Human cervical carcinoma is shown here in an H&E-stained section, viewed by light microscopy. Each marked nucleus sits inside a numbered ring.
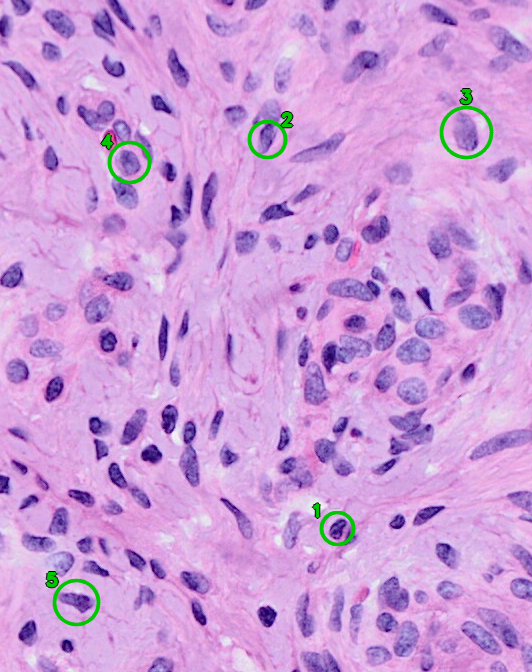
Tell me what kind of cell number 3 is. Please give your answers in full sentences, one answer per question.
Regarding cell 3, this one is a fibroblast.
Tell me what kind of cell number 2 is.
The cell referred to as 2 is a fibroblast.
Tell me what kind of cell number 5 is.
In the tissue shown, cell 5 is a fibroblast.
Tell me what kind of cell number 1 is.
The cell assigned the number 1 is a lymphocyte.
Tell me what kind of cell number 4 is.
The numeral 4 marks an endothelial cell in this section.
